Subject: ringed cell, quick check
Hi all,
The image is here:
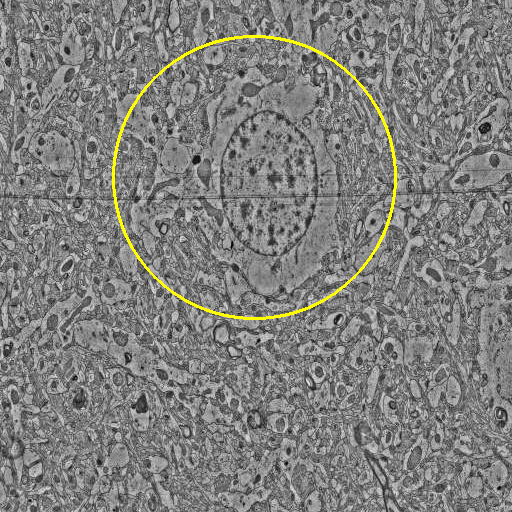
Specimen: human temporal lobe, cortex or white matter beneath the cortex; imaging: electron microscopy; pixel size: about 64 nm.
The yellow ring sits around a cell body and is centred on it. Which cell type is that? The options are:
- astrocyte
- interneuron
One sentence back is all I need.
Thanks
That ringed cell is an astrocyte.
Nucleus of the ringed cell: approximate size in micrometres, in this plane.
The nucleus has a long axis of about 9 micrometres and a short axis of about 6 micrometres in this plane.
